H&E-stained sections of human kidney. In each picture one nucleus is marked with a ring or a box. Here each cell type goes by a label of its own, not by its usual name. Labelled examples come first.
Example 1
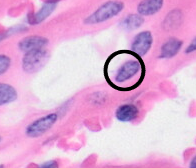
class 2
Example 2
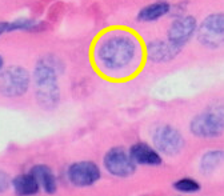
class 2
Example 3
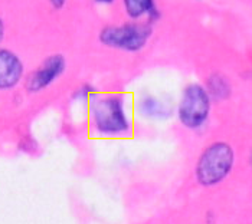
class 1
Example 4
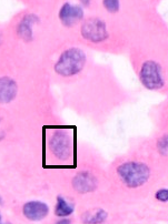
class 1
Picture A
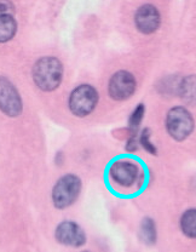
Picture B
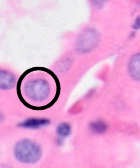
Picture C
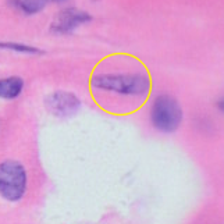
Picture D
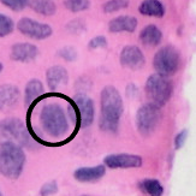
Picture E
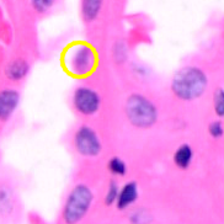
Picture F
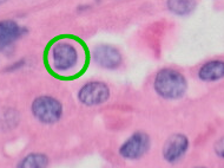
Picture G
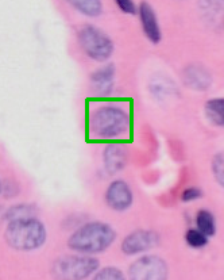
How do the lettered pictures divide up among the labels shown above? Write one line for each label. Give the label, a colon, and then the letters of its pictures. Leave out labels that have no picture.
class 2: A, C, D, G
class 1: B, E, F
